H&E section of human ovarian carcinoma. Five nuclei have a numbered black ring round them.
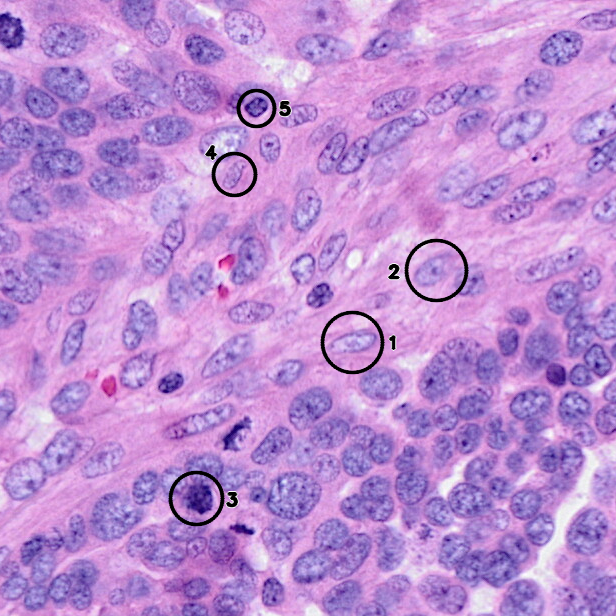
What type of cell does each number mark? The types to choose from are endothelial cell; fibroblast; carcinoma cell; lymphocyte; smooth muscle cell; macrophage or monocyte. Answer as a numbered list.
1. fibroblast
2. fibroblast
3. carcinoma cell
4. fibroblast
5. lymphocyte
